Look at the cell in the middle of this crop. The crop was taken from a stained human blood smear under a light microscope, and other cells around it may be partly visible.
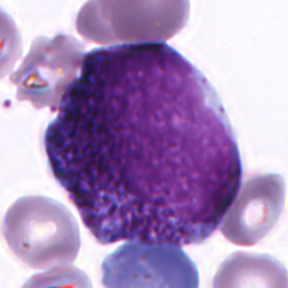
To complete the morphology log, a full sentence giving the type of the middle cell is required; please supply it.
The cell of interest, located centrally, is a promyelocyte.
